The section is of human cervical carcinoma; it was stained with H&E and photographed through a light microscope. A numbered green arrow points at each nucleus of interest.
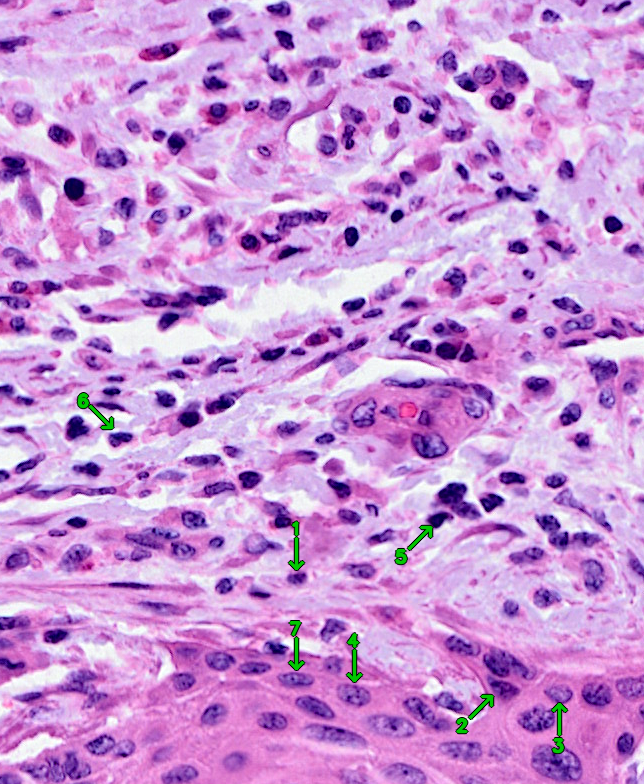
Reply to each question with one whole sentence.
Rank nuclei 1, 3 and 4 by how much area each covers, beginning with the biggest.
Largest first, the order by area is 4, 3, 1.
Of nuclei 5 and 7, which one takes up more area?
Nucleus 7 is larger, with an area about 1.5 times that of nucleus 5.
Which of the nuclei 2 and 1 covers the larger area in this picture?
It is nucleus 2, which covers about 2 times the area of nucleus 1.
